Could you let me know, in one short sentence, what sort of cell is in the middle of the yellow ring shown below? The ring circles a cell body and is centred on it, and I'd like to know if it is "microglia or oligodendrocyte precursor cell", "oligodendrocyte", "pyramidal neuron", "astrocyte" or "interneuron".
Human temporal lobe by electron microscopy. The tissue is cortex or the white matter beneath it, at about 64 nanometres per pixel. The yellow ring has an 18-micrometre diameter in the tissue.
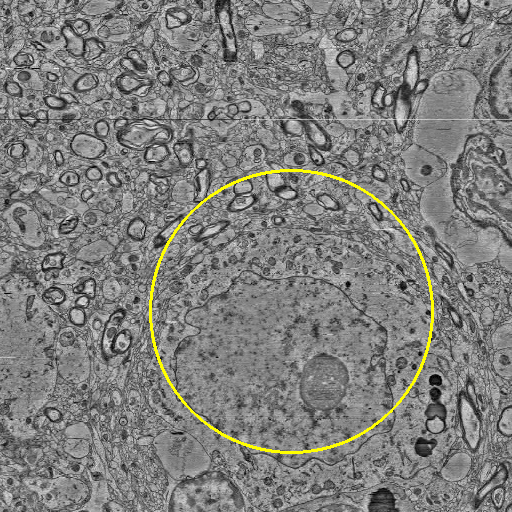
The ring circles the cell body of a pyramidal neuron.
